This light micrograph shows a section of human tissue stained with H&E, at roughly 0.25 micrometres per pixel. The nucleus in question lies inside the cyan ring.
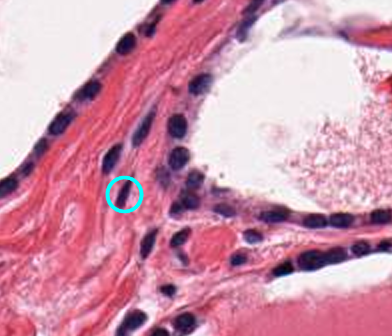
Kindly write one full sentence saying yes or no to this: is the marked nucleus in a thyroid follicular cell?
No, a thyroid follicular cell is not the cell of the marked nucleus; a supporting cell is.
